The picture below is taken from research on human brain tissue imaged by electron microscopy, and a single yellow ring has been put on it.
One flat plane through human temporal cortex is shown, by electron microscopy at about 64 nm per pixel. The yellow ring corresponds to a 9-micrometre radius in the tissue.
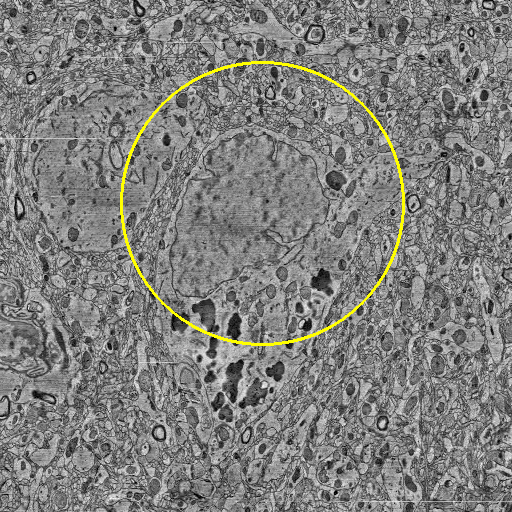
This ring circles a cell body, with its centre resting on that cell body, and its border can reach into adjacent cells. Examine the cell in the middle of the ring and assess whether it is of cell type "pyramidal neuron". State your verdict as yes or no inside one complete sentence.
No, in the picture, the cell lying at the centre of the ring is of a different type.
